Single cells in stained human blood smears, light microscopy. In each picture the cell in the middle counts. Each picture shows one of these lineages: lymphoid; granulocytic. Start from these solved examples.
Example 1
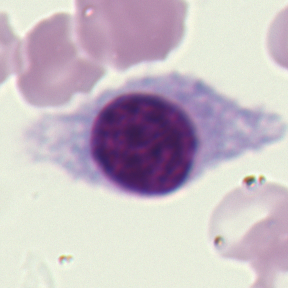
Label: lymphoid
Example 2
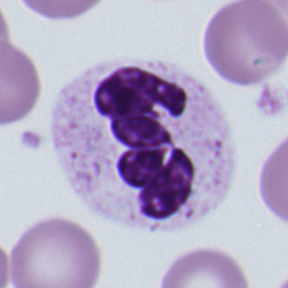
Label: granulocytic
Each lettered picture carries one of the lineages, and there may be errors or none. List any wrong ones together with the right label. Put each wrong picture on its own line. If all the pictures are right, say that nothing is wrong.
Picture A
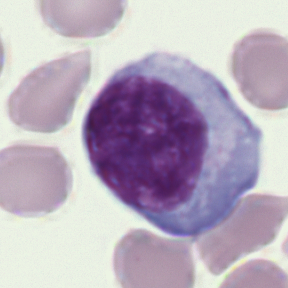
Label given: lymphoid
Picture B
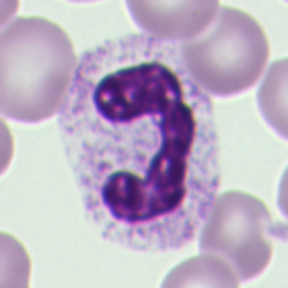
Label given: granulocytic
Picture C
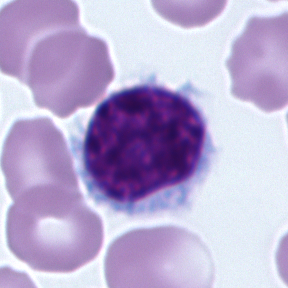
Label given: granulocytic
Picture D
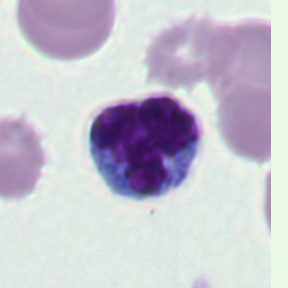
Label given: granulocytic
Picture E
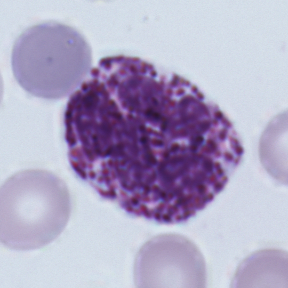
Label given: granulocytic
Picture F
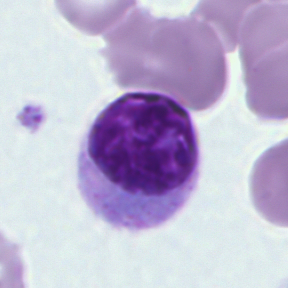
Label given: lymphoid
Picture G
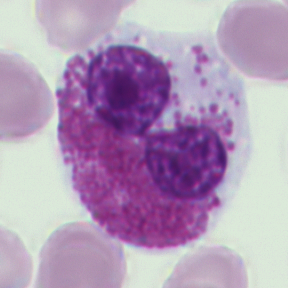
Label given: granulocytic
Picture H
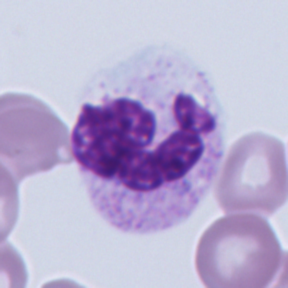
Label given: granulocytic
C: lymphoid, not granulocytic
D: lymphoid, not granulocytic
